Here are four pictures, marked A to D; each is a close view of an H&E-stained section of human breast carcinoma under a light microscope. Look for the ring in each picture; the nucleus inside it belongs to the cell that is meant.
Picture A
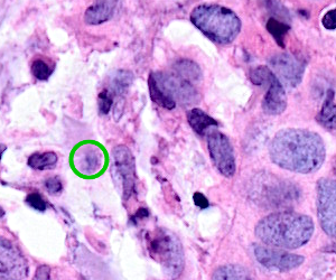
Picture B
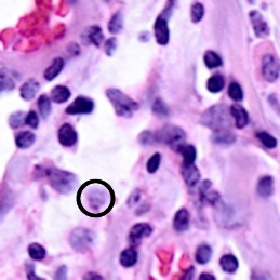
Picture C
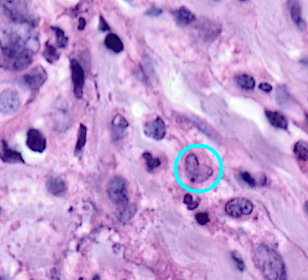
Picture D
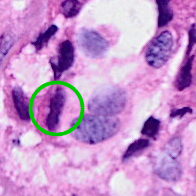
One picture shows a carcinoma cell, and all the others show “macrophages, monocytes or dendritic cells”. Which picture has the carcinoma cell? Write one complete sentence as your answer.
Picture D is the one that shows the carcinoma cell.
